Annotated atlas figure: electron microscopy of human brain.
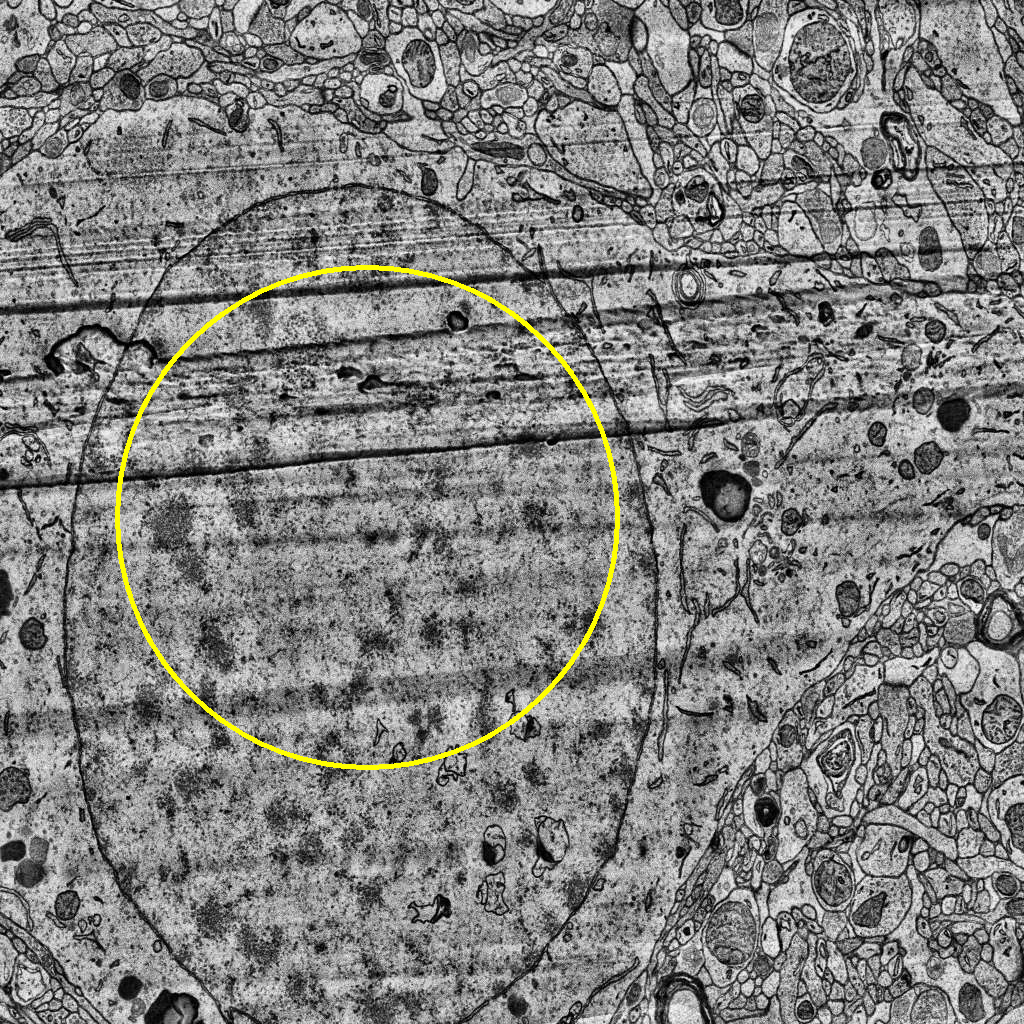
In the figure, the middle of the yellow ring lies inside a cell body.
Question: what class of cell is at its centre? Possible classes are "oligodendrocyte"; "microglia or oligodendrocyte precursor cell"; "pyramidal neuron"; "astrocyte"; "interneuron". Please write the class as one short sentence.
The yellow ring's centre lies in a pyramidal neuron.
